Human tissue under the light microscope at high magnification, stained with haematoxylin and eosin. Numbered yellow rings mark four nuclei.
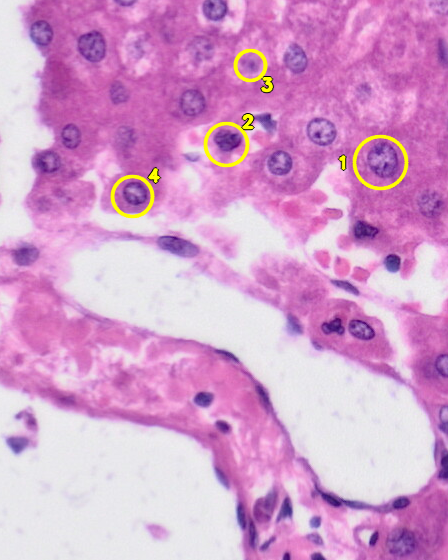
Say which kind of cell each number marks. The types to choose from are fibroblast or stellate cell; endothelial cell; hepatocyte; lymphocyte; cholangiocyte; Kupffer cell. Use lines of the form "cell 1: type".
cell 1: hepatocyte
cell 2: Kupffer cell
cell 3: hepatocyte
cell 4: hepatocyte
